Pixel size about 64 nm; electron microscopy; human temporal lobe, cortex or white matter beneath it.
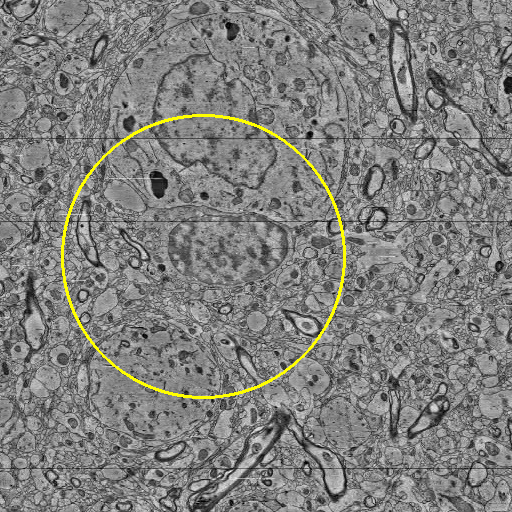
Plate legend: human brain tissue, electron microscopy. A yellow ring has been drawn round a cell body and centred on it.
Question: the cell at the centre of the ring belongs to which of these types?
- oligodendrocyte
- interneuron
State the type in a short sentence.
The cell in the middle of the ring is an oligodendrocyte.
